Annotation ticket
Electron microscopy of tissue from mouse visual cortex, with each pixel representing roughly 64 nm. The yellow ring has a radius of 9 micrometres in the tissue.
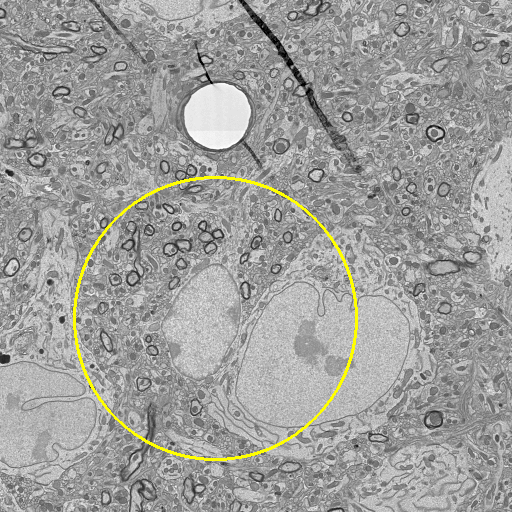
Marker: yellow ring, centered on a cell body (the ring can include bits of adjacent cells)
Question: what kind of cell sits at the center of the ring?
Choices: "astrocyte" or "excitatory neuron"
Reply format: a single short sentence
The ring is centered on an astrocyte.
